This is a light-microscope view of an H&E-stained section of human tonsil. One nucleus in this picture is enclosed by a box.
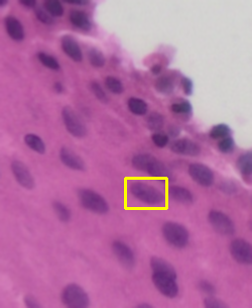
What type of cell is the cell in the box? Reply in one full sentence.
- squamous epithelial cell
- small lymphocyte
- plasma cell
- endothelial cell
Cell type answer for this item: the cell in the box is a squamous epithelial cell.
